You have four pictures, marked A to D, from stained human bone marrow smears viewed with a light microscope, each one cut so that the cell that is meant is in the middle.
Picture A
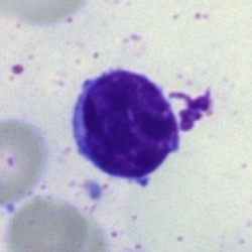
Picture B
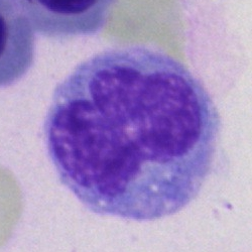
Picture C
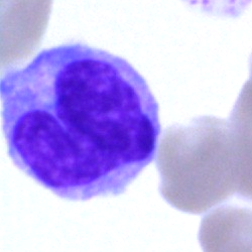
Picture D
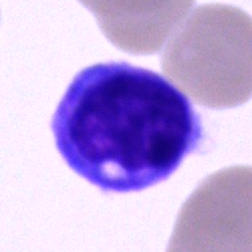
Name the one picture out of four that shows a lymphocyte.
A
